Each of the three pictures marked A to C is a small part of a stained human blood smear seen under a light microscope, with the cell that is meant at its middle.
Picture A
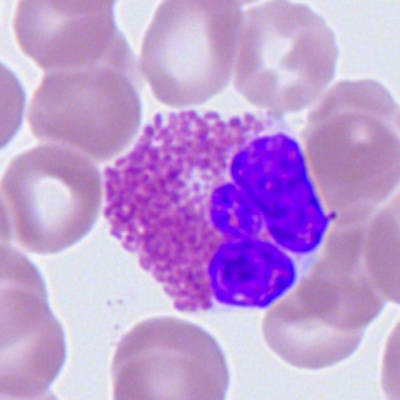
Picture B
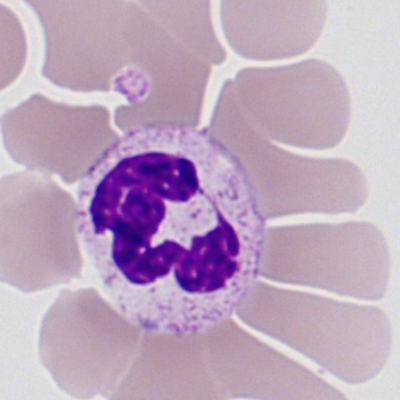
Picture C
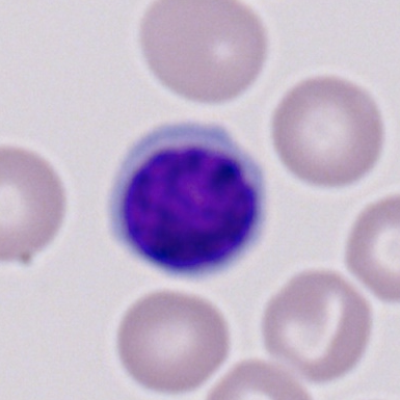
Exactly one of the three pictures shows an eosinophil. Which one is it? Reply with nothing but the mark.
A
